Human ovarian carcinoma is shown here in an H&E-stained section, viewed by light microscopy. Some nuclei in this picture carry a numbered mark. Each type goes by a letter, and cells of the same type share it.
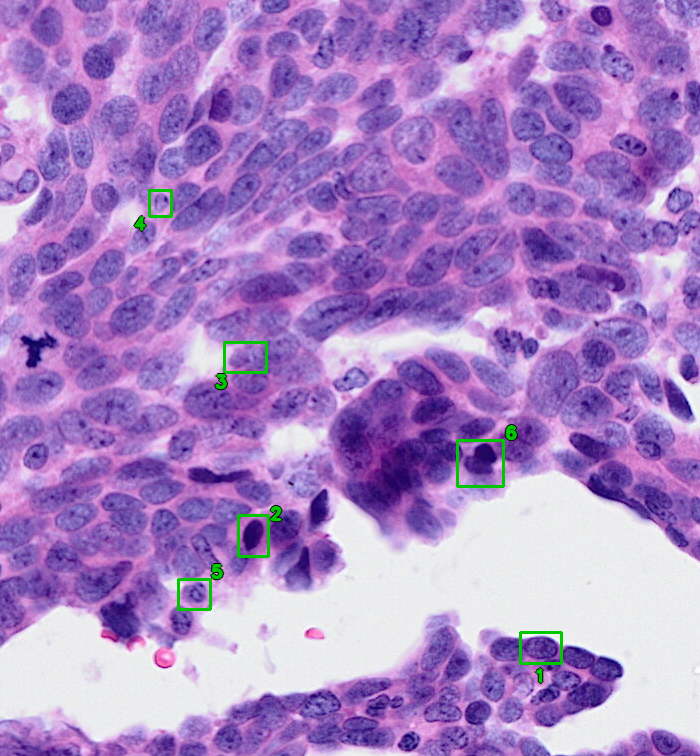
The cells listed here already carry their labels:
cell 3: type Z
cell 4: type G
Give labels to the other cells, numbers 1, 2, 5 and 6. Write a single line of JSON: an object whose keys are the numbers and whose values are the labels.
{"1": "type Z", "2": "type Z", "5": "type G", "6": "type Z"}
